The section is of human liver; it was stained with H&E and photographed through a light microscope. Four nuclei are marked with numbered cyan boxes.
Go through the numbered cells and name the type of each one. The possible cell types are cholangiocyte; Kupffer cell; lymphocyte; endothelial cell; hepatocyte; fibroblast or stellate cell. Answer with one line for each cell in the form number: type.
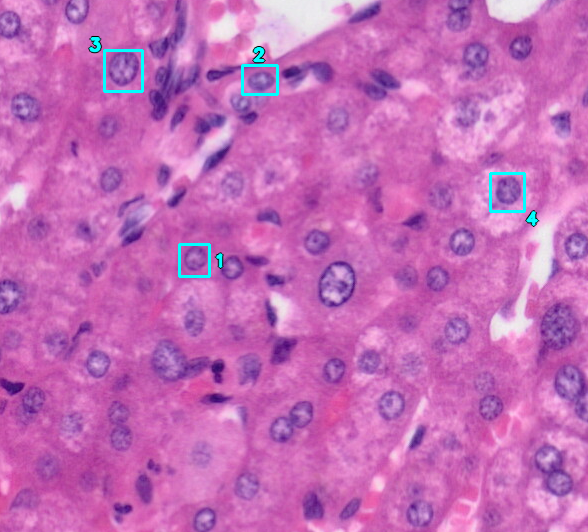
1: hepatocyte
2: cholangiocyte
3: hepatocyte
4: hepatocyte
